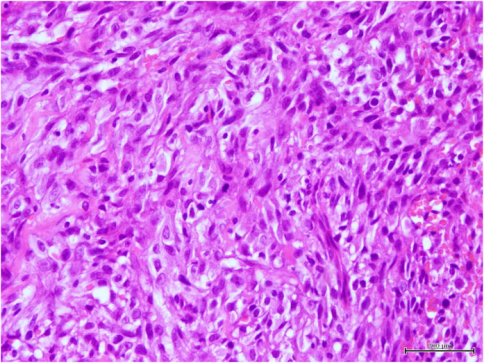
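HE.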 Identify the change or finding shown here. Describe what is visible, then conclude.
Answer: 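Nuclei vary widely in size and shape. Some nuclei are large and hyperchromatic next to smaller ones. On this evidence: extensive pleomorphism.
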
